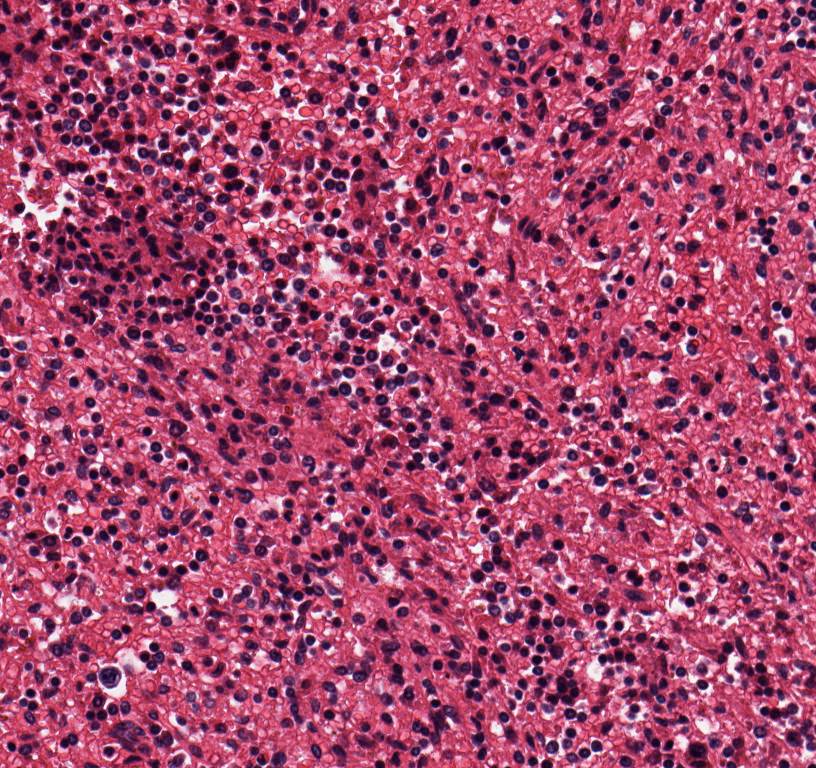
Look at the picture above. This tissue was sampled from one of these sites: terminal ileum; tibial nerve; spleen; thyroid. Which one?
spleen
